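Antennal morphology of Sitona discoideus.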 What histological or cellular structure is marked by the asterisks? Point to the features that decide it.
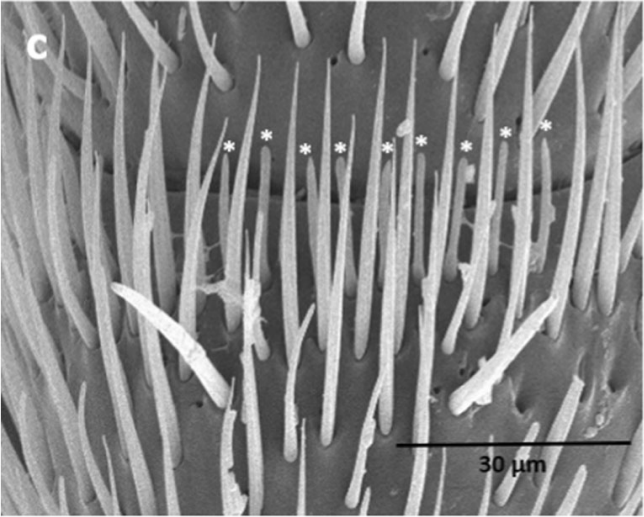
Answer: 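Basiconic sensilla. The asterisks sit above short, blunt-tipped pegs. The marked pegs are shorter and thicker-tipped than the long tapering hairs around them. The marked pegs stand in a row across the surface.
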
